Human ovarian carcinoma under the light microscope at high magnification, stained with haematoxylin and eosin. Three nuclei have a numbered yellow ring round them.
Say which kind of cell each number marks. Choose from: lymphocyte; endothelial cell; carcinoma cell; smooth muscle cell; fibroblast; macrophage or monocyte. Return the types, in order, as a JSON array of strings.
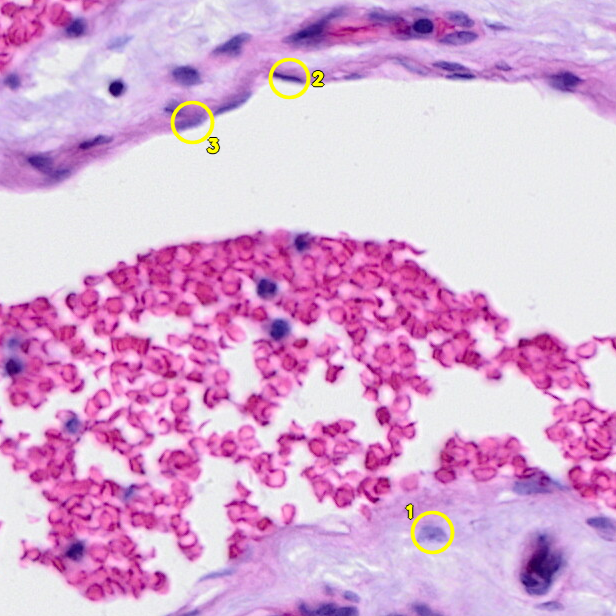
["fibroblast", "endothelial cell", "endothelial cell"]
